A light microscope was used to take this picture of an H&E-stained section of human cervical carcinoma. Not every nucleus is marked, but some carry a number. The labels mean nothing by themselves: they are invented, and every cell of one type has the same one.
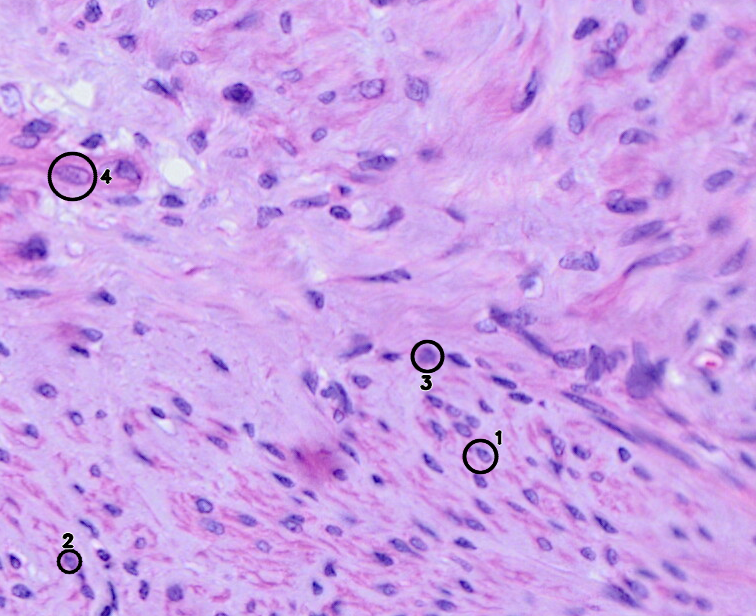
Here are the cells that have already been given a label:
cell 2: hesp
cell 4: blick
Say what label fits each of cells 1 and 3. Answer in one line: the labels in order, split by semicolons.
hesp; hesp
